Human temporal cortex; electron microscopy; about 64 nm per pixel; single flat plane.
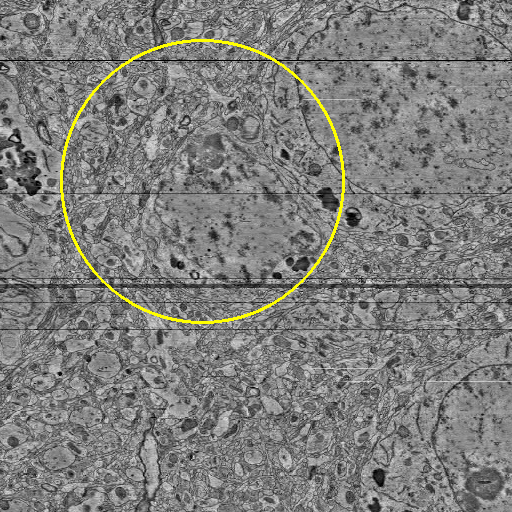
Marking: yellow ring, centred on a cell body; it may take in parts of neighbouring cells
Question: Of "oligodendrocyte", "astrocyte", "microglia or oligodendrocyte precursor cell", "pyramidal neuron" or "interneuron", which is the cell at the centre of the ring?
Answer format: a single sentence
The ring surrounds the body of an interneuron.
